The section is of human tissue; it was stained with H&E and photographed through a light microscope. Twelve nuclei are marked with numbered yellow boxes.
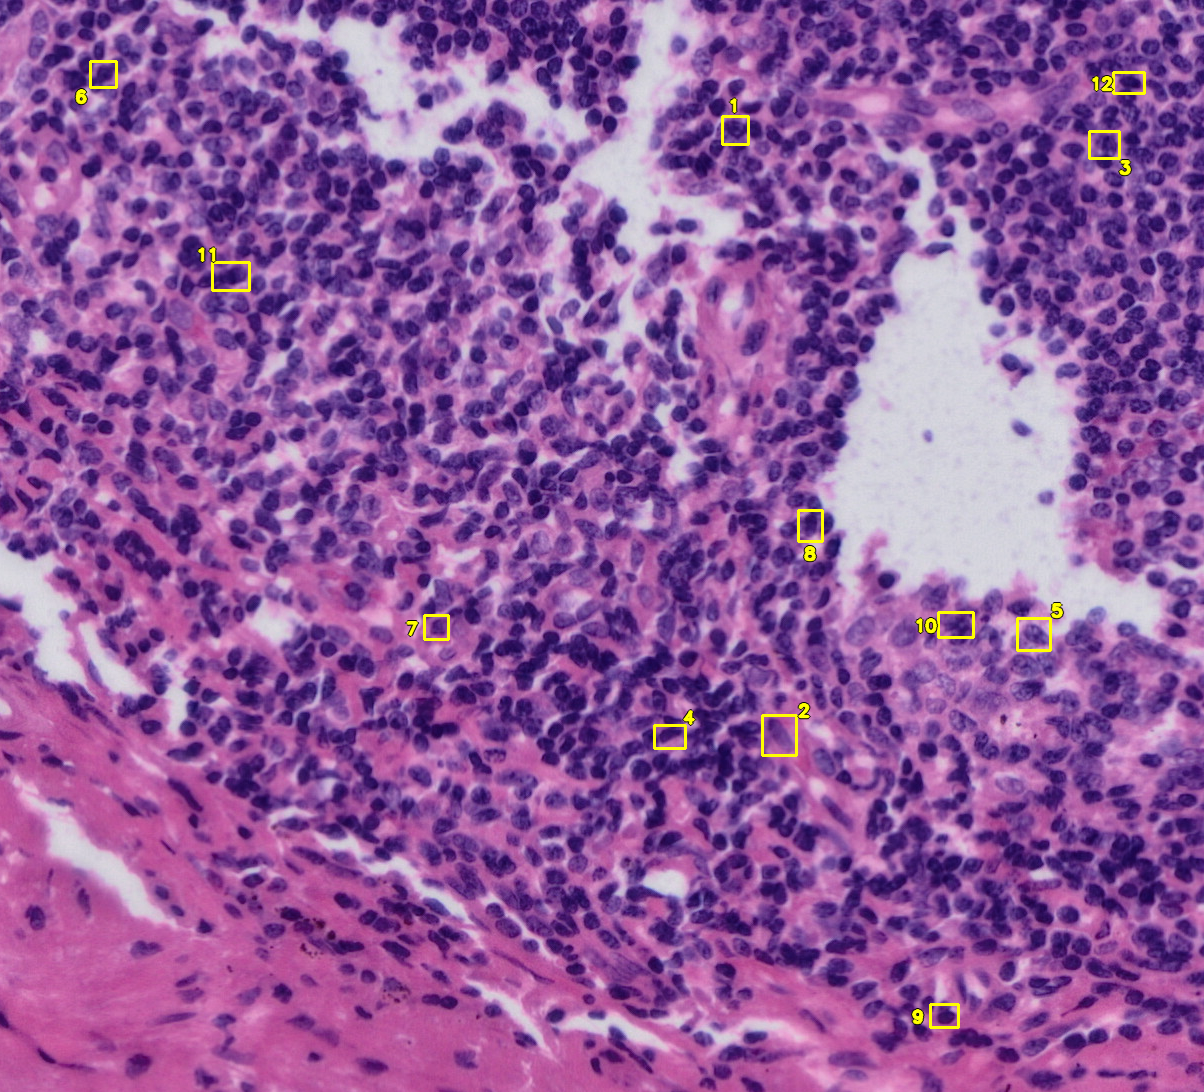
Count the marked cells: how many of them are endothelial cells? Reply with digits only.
2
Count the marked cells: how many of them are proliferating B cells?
2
